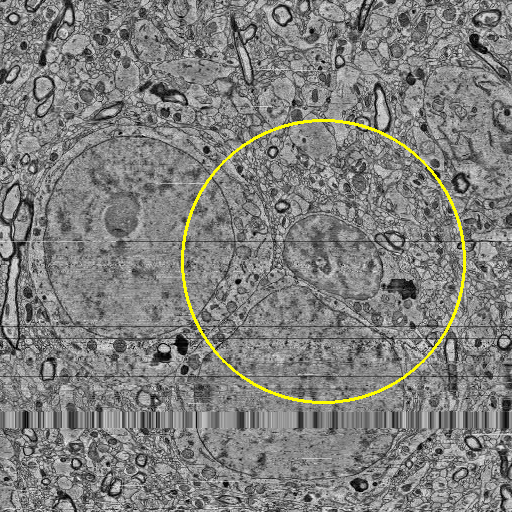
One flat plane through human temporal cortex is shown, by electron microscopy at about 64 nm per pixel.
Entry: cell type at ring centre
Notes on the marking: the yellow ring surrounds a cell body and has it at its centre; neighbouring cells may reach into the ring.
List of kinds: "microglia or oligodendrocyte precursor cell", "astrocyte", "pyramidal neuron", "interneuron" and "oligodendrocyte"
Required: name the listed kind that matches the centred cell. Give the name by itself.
oligodendrocyte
